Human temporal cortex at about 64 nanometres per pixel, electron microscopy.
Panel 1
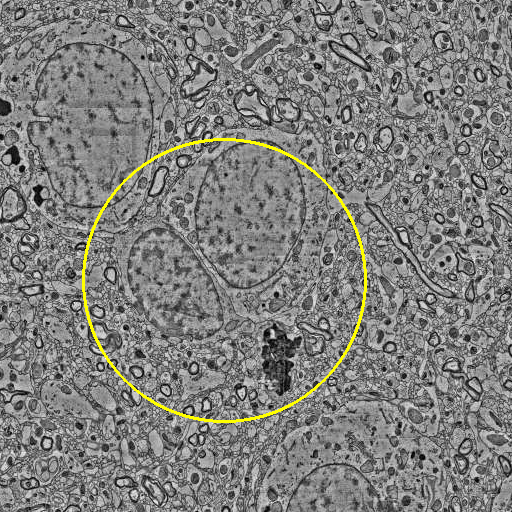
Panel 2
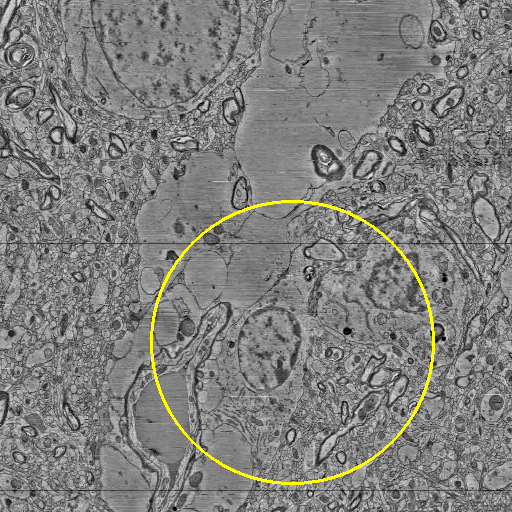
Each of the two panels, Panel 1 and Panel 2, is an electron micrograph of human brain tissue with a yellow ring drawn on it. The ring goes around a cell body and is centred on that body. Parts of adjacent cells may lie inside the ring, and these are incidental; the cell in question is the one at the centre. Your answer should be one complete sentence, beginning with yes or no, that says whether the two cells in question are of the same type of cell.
No, the two cells are of two types.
